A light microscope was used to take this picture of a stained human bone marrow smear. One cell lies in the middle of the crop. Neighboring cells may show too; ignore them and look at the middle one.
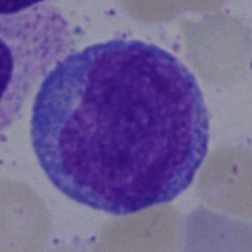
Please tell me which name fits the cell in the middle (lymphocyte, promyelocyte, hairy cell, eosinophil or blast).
promyelocyte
